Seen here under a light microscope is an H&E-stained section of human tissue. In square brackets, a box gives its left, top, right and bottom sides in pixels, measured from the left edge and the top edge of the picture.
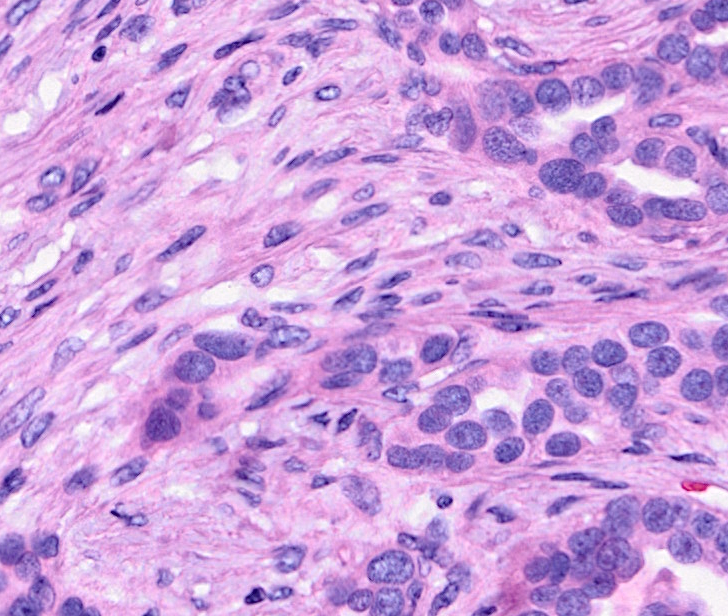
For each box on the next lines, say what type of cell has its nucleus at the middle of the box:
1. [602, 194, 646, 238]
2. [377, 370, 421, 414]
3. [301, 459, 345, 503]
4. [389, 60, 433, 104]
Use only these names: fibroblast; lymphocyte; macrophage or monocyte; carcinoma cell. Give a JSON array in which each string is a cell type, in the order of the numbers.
["carcinoma cell", "fibroblast", "fibroblast", "fibroblast"]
